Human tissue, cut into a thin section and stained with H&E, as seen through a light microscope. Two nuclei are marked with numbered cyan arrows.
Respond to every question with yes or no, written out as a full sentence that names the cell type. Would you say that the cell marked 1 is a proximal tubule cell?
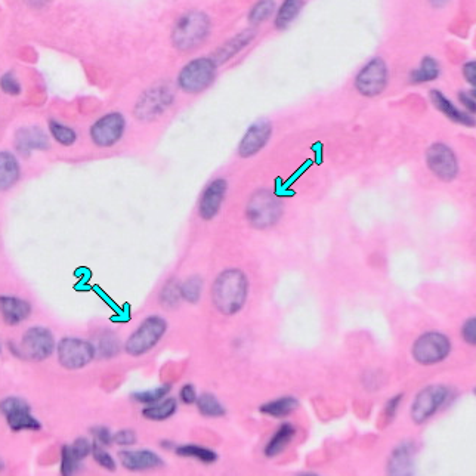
Yes, the cell at marker 1 is a proximal tubule cell.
